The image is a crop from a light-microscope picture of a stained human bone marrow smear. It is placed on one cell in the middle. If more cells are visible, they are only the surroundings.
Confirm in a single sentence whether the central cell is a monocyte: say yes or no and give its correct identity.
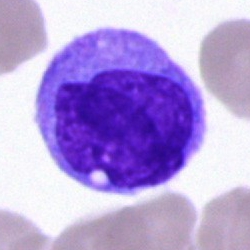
No, the cell under consideration is a blast instead of a monocyte.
